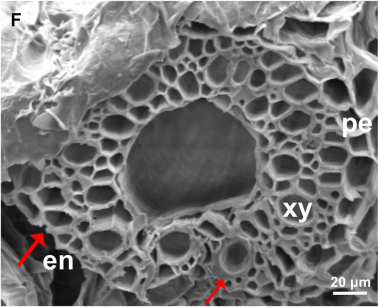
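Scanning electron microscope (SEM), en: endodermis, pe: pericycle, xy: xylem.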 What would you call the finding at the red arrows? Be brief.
Cell wall thickening.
